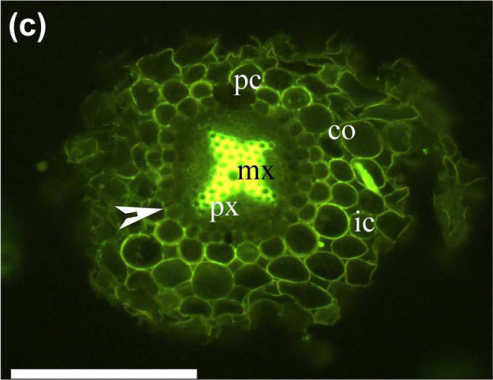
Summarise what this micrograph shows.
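Cross-section of a fine root with cell walls fluorescing green; the centre holds a cross-shaped bundle of brightly fluorescing, thick-walled xylem elements, wider metaxylem in the middle and narrower protoxylem toward the arms. A layer of small cells, the endodermis, surrounds this bundle, and outside it lie several layers of rounded cortical cells with intercellular spaces between them.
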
